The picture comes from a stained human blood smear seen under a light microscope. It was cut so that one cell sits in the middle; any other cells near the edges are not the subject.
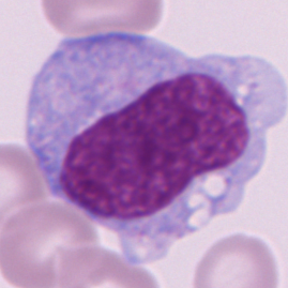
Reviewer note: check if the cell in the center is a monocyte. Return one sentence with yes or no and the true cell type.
Yes, the cell in the center of the field is a monocyte.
